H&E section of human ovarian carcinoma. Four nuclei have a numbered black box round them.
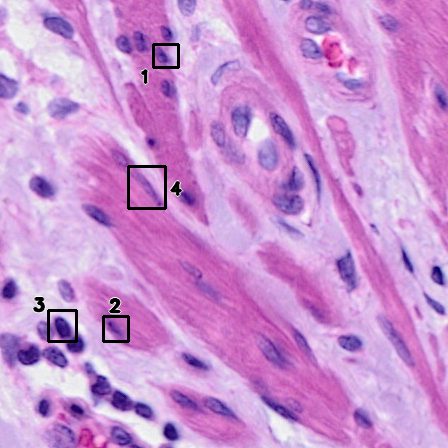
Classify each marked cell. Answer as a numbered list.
1. smooth muscle cell
2. smooth muscle cell
3. lymphocyte
4. smooth muscle cell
